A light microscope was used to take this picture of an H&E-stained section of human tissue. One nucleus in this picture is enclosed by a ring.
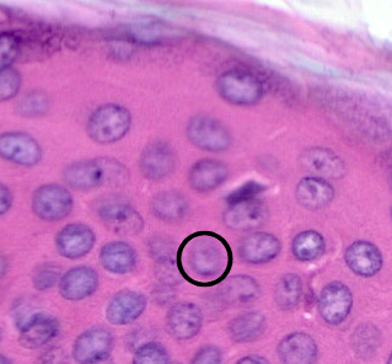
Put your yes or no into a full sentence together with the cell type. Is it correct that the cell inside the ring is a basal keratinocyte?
No, within this section, the cell inside the ring is categorized as a suprabasal keratinocyte rather than a basal keratinocyte.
